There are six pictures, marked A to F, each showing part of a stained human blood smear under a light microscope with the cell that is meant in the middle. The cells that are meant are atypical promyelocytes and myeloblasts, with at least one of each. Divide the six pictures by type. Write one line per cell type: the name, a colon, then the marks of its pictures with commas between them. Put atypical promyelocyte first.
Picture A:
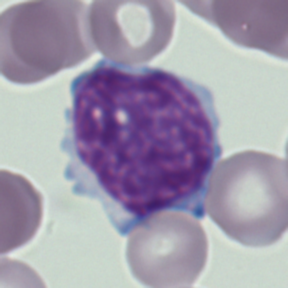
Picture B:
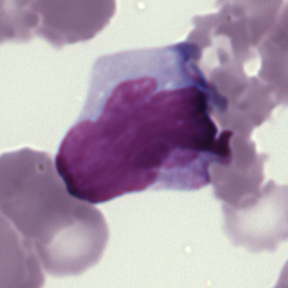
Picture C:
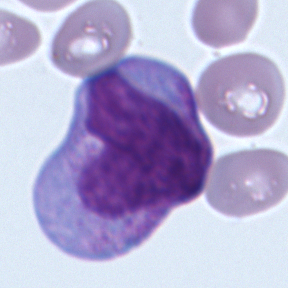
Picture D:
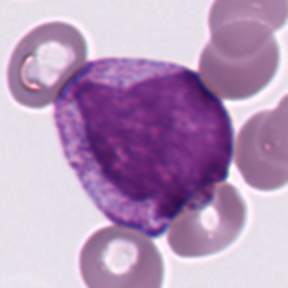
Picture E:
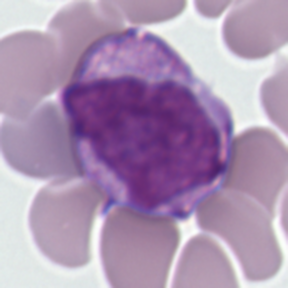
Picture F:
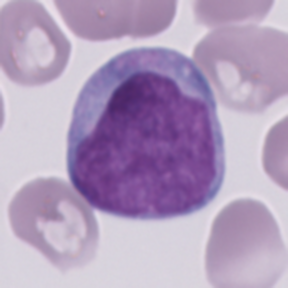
atypical promyelocyte: C, D, E, F
myeloblast: A, B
